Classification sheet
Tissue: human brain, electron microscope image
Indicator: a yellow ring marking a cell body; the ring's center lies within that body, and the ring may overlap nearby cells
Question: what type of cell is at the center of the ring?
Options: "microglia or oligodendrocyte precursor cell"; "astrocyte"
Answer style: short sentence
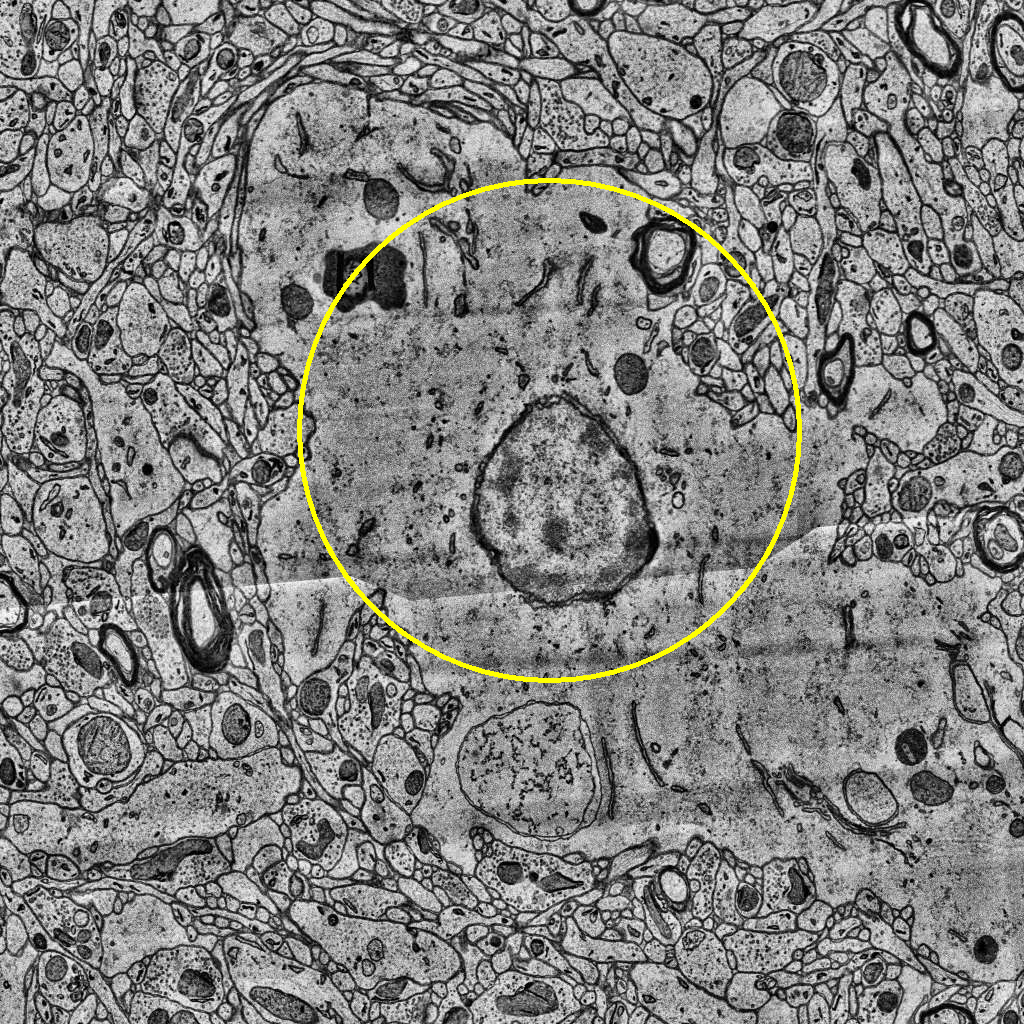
At the ring's center is an astrocyte.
